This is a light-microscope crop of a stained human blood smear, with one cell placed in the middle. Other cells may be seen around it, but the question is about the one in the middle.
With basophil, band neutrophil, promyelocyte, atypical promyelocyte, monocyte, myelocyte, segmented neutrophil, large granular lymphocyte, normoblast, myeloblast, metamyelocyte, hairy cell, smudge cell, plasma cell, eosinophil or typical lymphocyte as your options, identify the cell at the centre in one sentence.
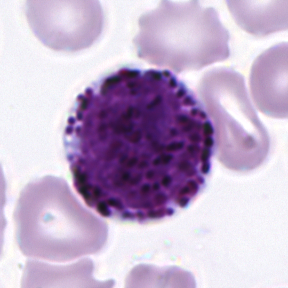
Answering briefly, the cell in the middle is a basophil.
